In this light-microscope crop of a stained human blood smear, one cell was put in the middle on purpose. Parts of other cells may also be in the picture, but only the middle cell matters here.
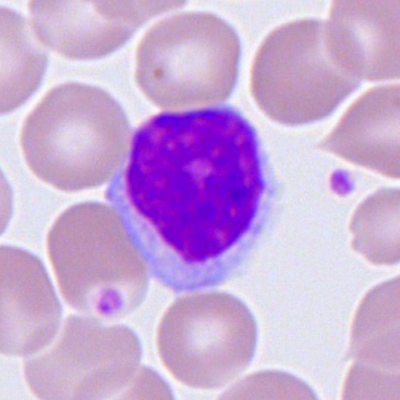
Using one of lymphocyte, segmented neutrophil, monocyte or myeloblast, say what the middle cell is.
lymphocyte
